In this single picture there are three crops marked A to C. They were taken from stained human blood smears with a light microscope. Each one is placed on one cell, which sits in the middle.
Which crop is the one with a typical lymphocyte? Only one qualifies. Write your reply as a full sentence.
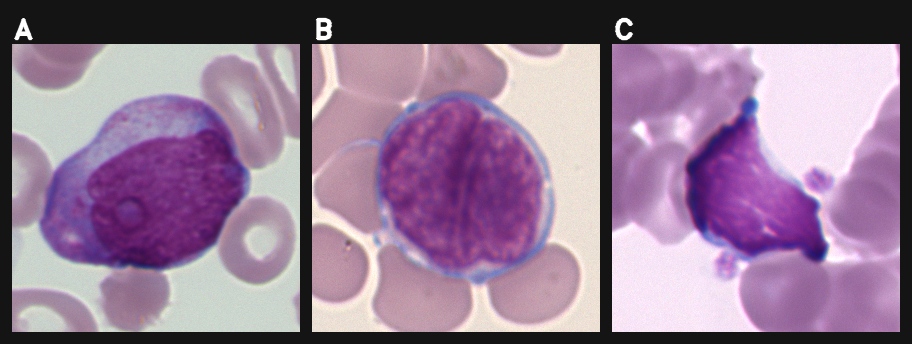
As for which crop shows a typical lymphocyte, it is crop C.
